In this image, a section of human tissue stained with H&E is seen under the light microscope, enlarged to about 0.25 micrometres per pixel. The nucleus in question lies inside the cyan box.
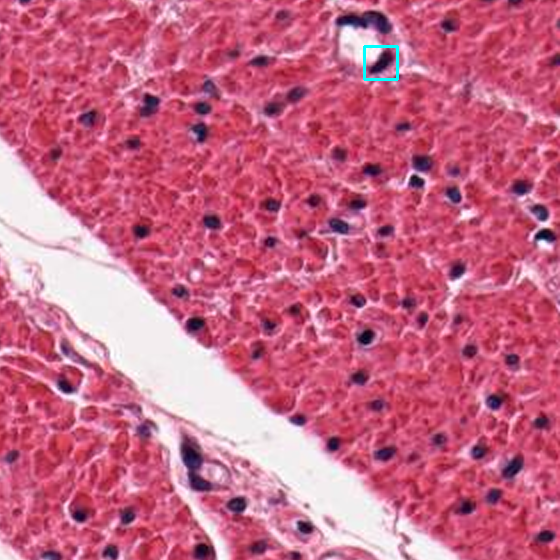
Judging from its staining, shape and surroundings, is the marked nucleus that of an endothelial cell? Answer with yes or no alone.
yes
